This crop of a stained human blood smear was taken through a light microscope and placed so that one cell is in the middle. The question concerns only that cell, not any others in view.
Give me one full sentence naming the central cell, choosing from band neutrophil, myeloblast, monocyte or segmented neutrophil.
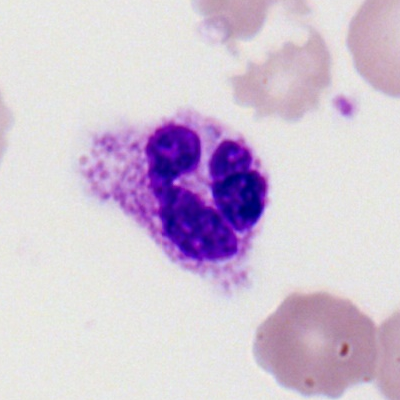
In the center of this field lies a segmented neutrophil.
